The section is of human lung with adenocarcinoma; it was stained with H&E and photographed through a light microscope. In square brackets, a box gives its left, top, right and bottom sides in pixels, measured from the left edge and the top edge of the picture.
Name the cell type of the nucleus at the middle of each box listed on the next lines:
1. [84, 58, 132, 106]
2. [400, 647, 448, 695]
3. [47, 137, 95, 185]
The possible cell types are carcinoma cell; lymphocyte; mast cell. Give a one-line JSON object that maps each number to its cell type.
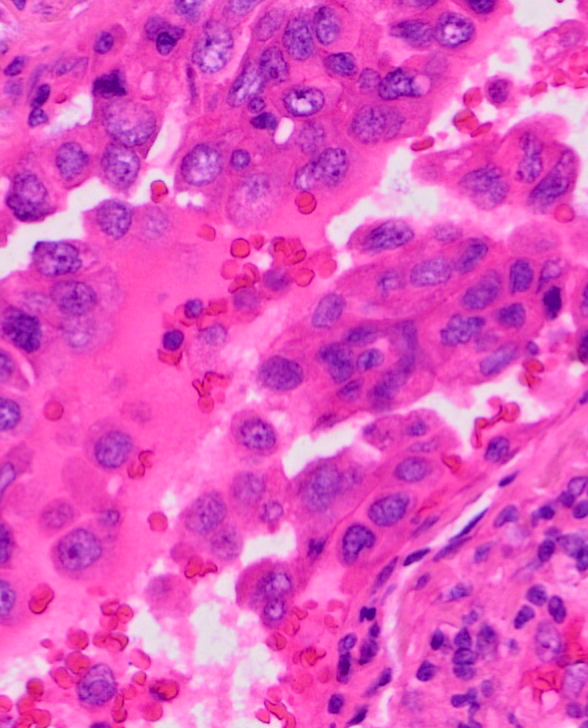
{"1": "carcinoma cell", "2": "lymphocyte", "3": "carcinoma cell"}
